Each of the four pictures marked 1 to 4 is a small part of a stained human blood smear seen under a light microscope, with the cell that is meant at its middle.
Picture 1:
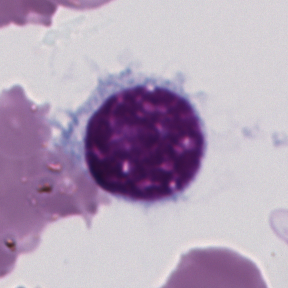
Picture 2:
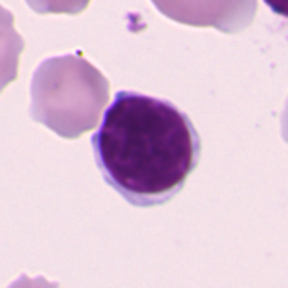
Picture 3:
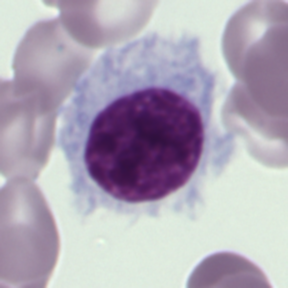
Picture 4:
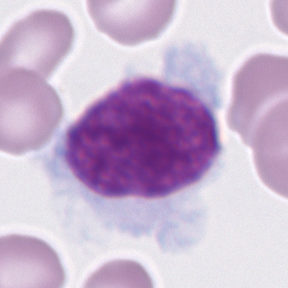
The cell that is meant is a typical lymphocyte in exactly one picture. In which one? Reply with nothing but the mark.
2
